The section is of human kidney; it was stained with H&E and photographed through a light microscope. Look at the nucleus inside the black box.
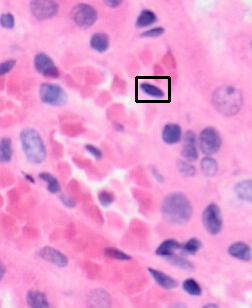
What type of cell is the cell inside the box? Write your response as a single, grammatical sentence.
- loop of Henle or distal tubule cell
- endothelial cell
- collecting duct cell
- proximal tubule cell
On this particular slide, the cell inside the box is an endothelial cell.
